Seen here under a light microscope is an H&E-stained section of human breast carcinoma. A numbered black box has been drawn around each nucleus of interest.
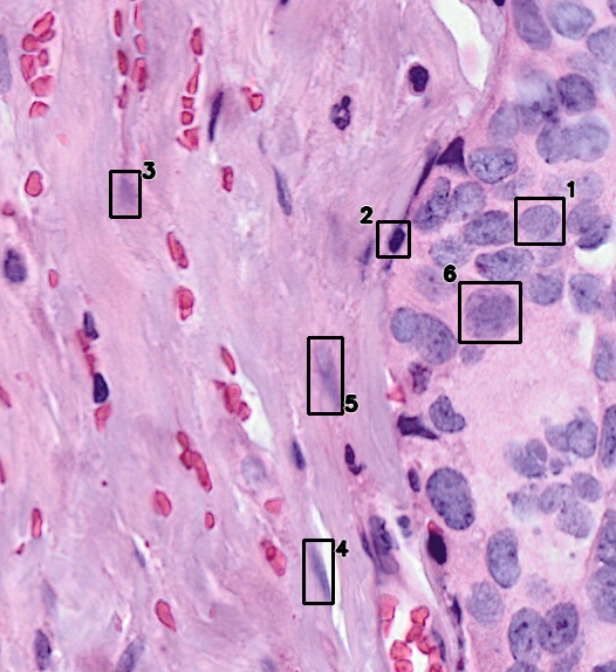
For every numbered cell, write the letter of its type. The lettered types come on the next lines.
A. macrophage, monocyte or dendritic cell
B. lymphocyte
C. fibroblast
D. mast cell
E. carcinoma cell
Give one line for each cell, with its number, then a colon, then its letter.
1: E
2: B
3: C
4: C
5: C
6: E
